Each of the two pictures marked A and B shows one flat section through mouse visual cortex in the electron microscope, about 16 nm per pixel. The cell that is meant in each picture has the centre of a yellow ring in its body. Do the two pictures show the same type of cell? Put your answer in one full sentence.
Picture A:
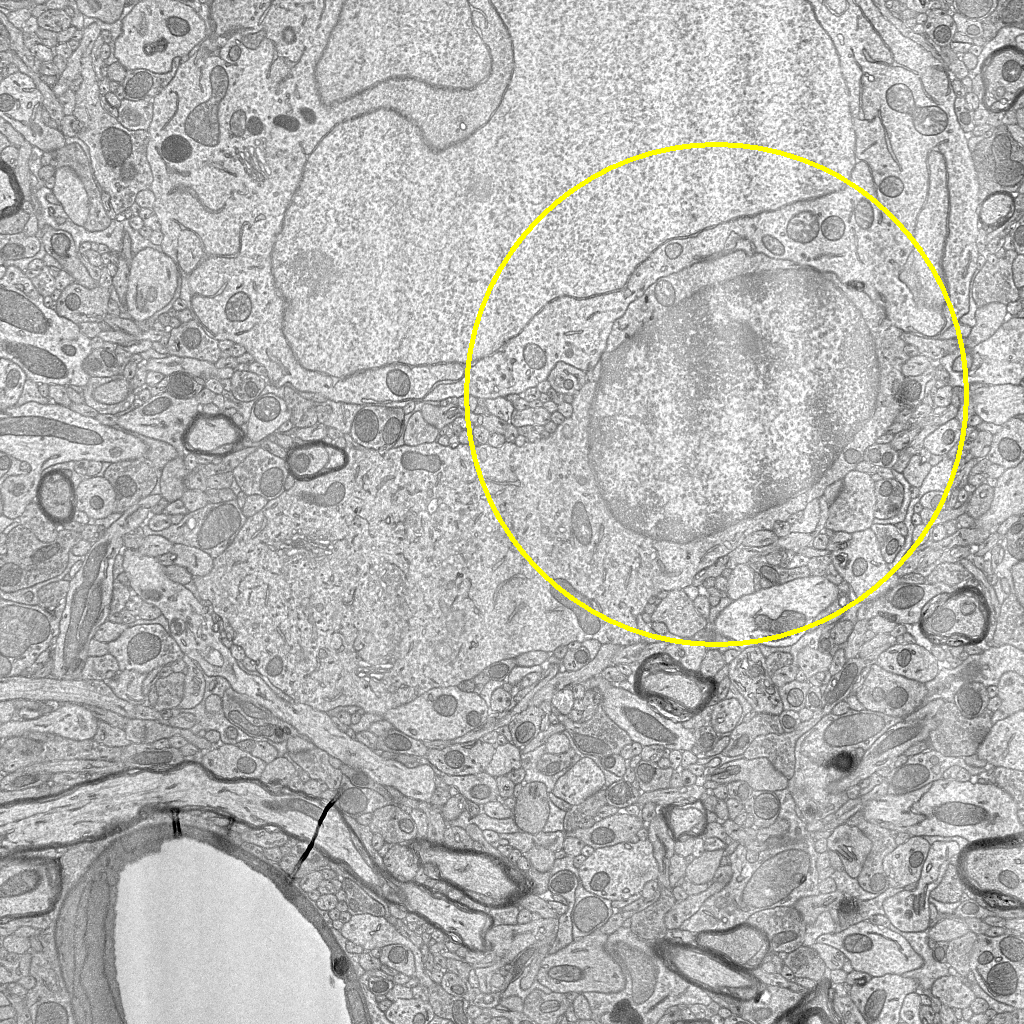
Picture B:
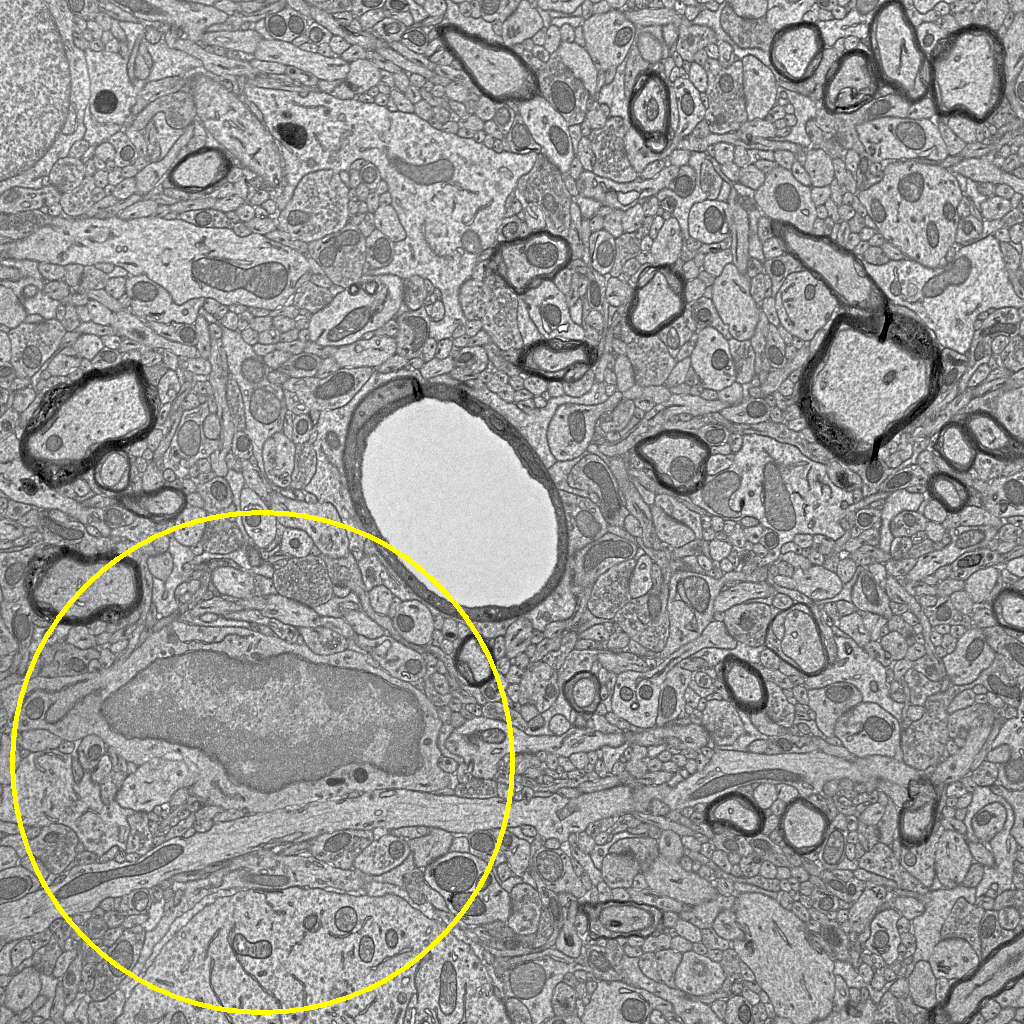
No. Picture A shows an oligodendrocyte, but picture B shows a microglial cell.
